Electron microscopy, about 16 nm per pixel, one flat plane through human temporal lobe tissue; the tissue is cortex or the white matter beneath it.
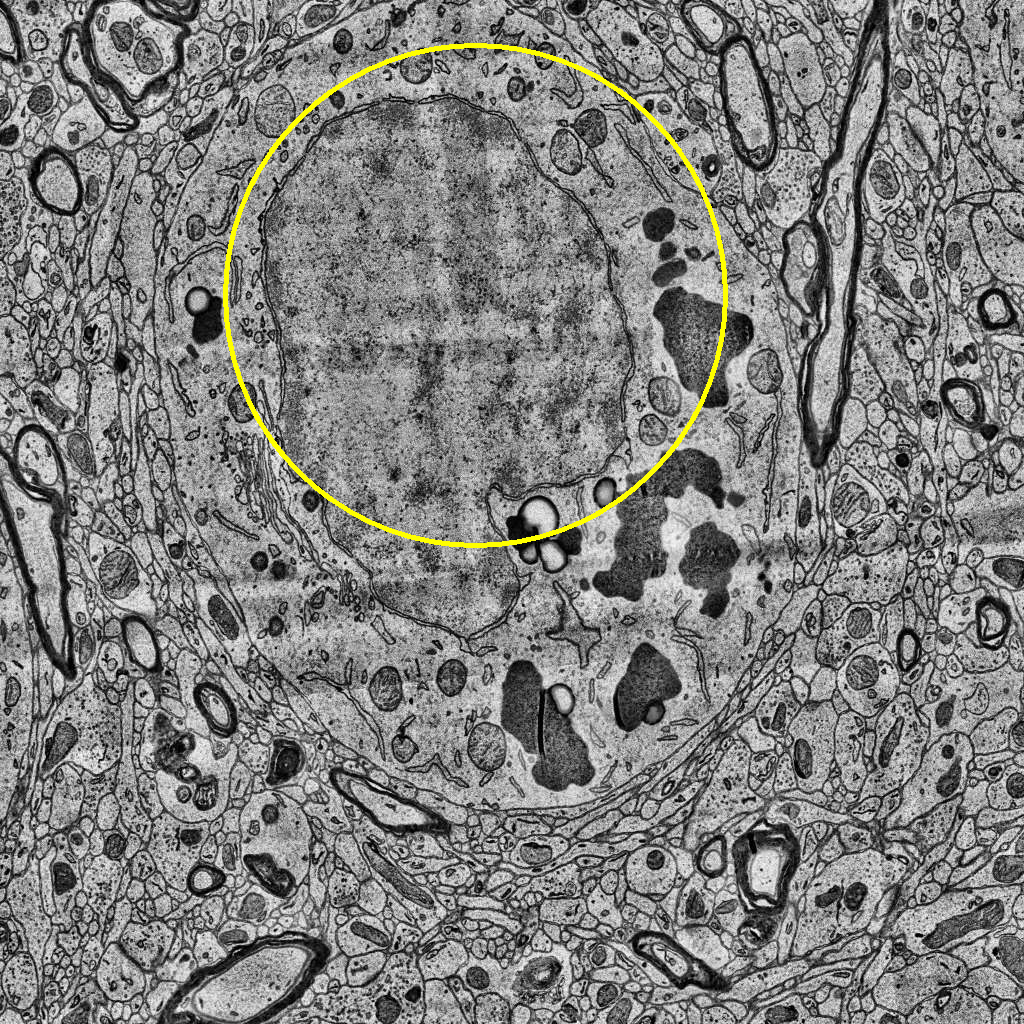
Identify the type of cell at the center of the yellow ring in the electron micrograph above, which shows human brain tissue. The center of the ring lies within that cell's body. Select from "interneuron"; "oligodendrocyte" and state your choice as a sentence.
The center of the yellow ring lies in the body of an interneuron.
